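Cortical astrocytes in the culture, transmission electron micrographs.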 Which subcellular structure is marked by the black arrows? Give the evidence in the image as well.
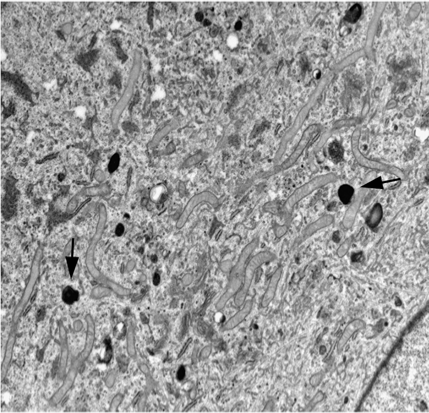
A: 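The arrows point to small, round, dense black bodies. They lie between long tubular mitochondria.
Conclusion: lysosomes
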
